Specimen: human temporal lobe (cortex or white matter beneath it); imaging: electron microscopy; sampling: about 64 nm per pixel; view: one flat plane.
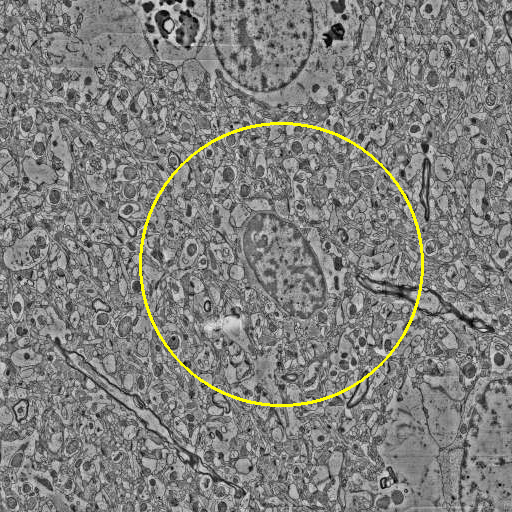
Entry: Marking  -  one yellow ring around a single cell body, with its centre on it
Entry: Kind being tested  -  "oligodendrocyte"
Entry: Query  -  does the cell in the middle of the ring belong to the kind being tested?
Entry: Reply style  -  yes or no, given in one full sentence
Yes, the centred cell within the ring in the picture does belong to the tested kind.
